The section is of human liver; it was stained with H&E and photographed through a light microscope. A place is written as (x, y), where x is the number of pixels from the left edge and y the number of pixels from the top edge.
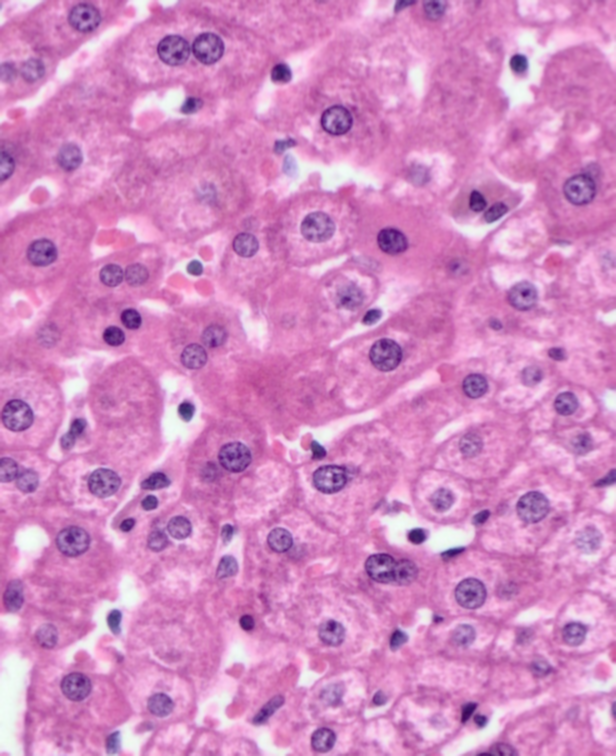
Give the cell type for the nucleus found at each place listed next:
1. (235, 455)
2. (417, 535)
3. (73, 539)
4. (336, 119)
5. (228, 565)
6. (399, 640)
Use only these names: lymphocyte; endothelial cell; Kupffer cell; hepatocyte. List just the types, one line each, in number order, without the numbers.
hepatocyte
lymphocyte
hepatocyte
hepatocyte
Kupffer cell
endothelial cell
